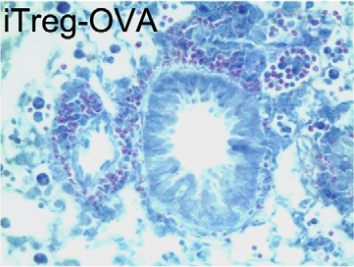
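The airway is lined by a tall columnar epithelium with blue nuclei arranged in a thick band around a clear lumen. Outside the epithelium, in the surrounding connective tissue and near neighbouring vessels, lie numerous round cells whose cytoplasm is packed with red-pink granules; they form clusters on several sides of the airway. Scattered among them are cells with plain blue nuclei and little granularity. The background tissue stains pale blue-green.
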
